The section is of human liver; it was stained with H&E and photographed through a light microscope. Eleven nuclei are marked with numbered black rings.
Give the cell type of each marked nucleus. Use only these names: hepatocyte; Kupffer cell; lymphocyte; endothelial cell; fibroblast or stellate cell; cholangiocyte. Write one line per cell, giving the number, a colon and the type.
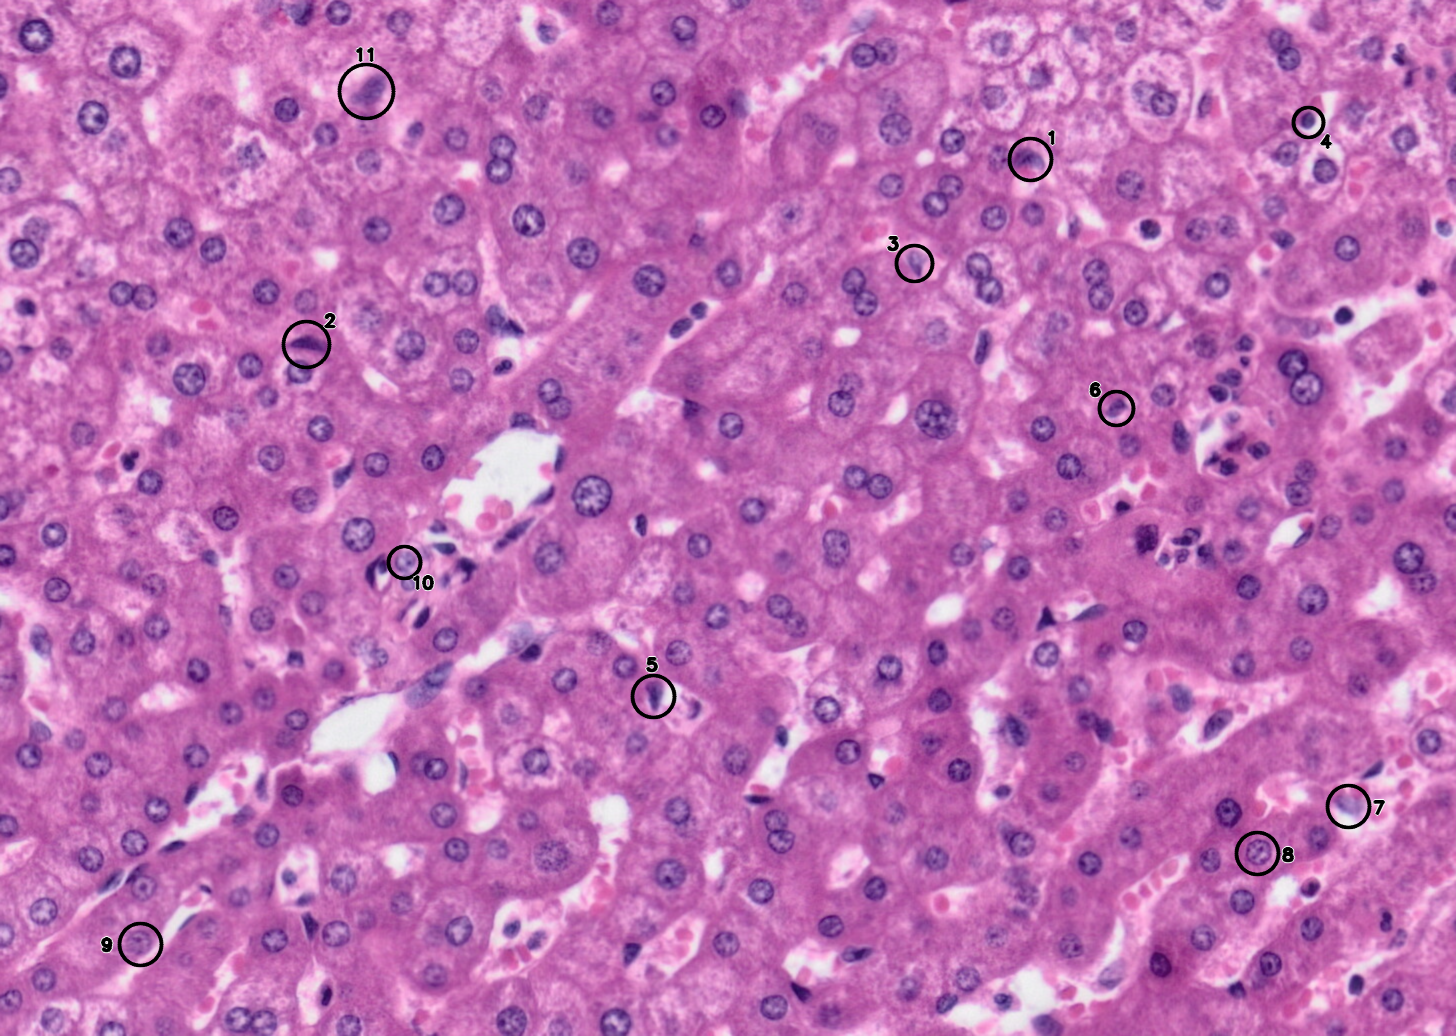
1: endothelial cell
2: fibroblast or stellate cell
3: endothelial cell
4: lymphocyte
5: endothelial cell
6: endothelial cell
7: Kupffer cell
8: hepatocyte
9: hepatocyte
10: cholangiocyte
11: Kupffer cell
